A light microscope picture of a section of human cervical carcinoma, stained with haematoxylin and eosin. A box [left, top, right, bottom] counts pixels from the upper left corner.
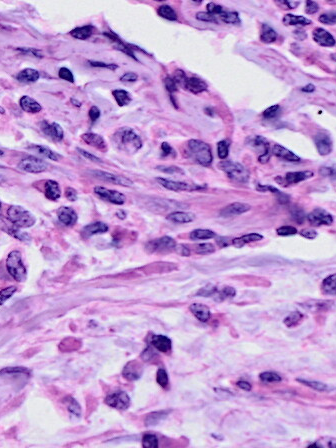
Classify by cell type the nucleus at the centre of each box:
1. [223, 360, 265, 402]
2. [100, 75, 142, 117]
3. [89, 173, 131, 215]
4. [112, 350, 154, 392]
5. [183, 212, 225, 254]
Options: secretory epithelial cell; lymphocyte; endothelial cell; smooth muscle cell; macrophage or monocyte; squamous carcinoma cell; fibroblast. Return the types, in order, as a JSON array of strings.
["macrophage or monocyte", "lymphocyte", "lymphocyte", "macrophage or monocyte", "lymphocyte"]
